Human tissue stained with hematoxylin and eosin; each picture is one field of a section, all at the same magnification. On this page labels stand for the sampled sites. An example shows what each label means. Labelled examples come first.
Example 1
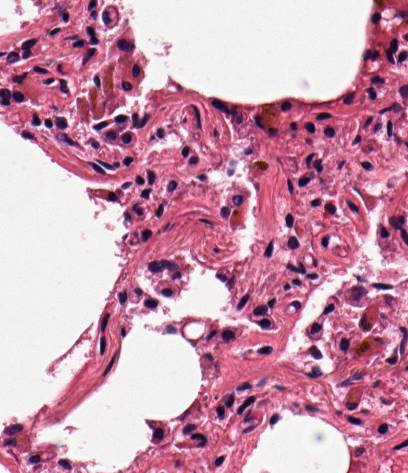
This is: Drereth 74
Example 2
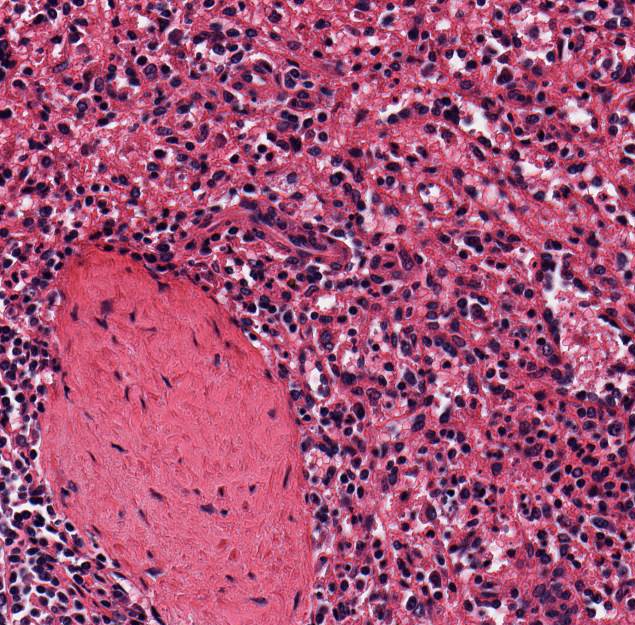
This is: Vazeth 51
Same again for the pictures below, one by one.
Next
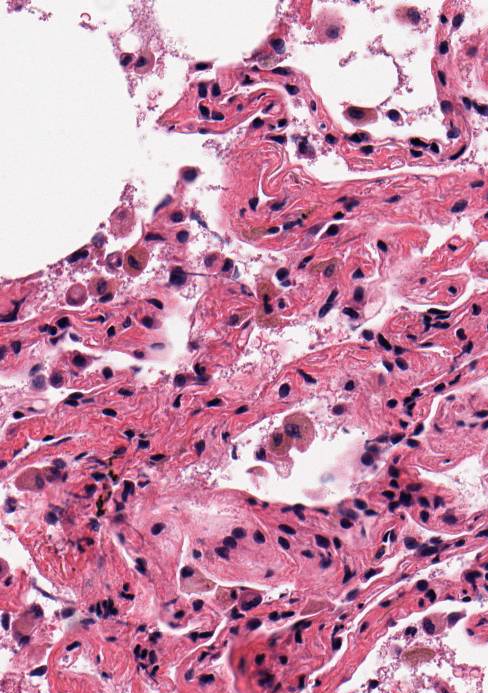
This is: Drereth 74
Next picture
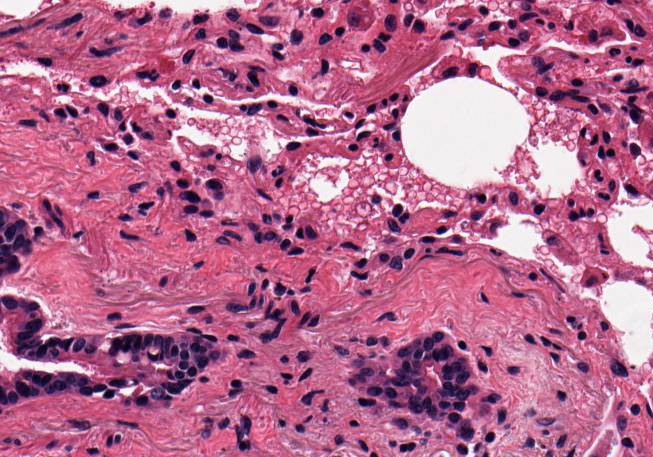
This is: Drereth 74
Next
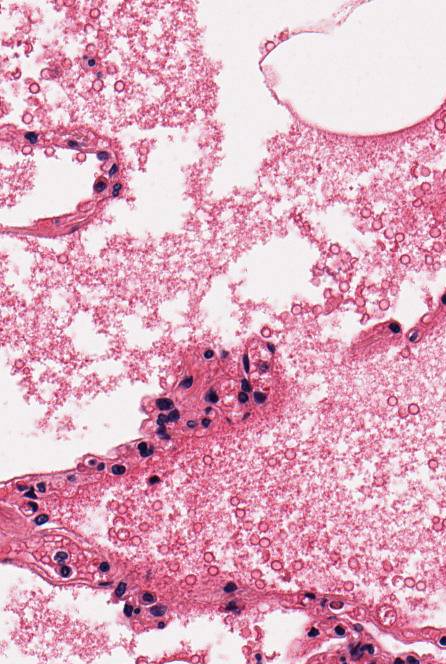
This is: Drereth 74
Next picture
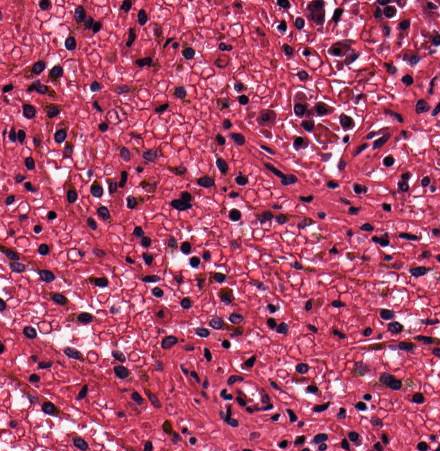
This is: Vazeth 51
